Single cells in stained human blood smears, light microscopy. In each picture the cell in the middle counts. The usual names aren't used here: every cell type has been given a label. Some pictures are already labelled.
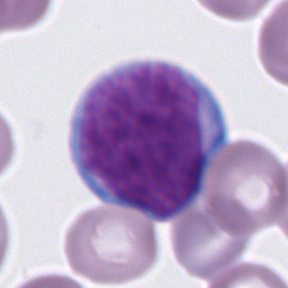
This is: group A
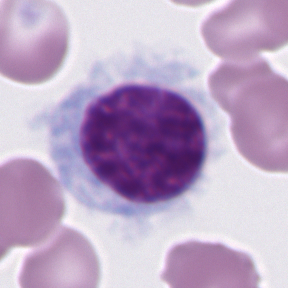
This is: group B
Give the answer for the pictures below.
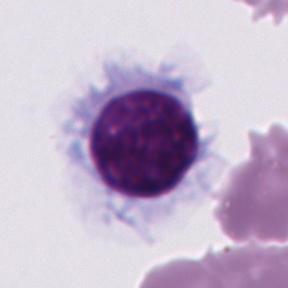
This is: group B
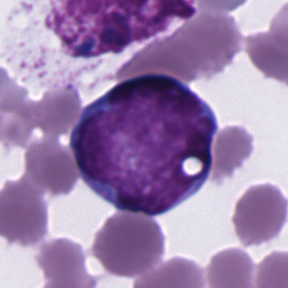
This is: group A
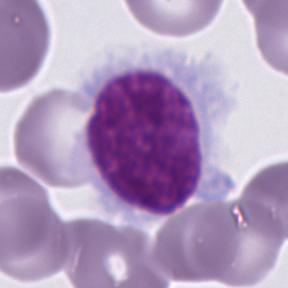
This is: group B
